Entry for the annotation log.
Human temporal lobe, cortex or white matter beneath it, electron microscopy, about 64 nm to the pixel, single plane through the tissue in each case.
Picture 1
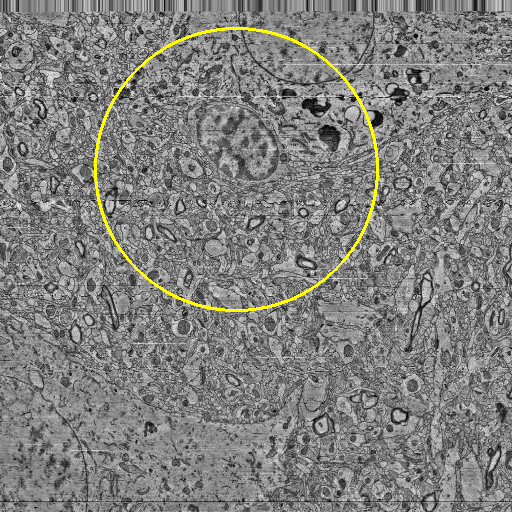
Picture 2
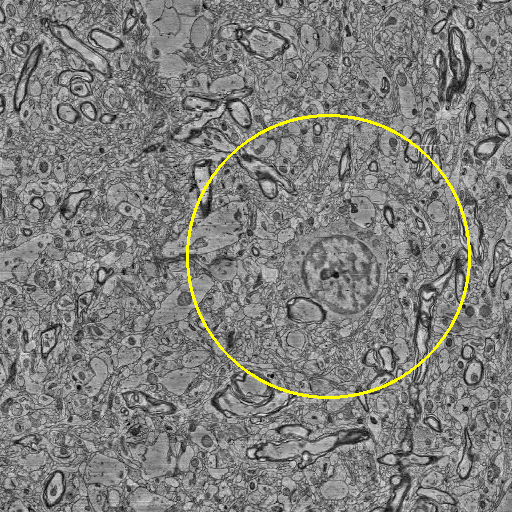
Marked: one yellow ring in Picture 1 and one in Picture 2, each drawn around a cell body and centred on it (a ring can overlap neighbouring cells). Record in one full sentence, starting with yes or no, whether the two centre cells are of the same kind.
Yes, both cells are of the same kind.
